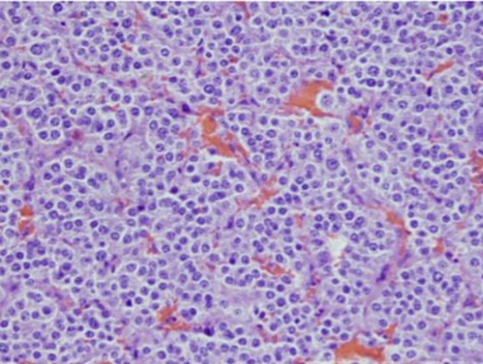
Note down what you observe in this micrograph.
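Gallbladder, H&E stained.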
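This is a neuroendocrine neoplasm made of sheets and nests of monotonous, round to polygonal tumour cells with round, central nuclei of finely stippled chromatin and a moderate rim of pale pink to clear cytoplasm. The nests are separated by thin, delicate vascular channels filled with red blood cells, and the nuclei vary little in size or shape.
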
